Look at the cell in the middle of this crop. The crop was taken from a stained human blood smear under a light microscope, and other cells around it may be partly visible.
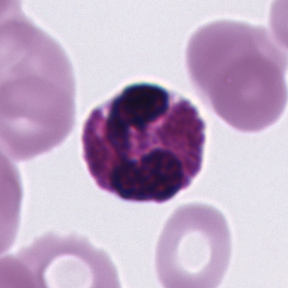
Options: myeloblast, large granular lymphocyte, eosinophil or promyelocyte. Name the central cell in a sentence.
The cell of interest, in the center, is an eosinophil.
